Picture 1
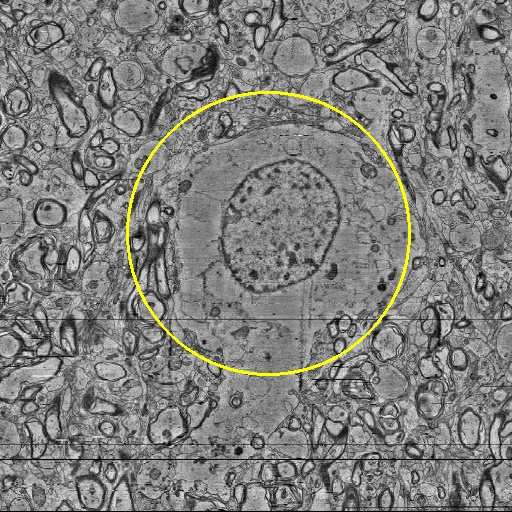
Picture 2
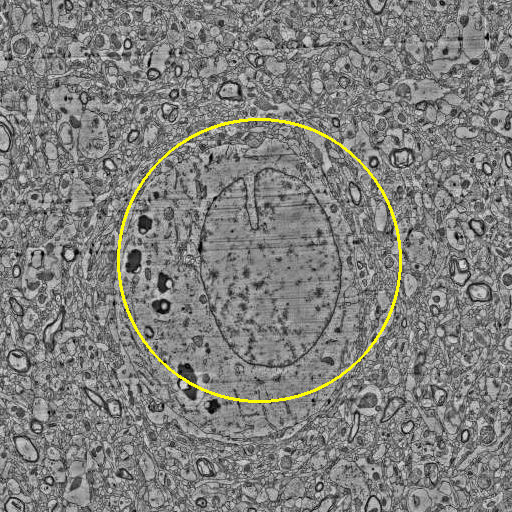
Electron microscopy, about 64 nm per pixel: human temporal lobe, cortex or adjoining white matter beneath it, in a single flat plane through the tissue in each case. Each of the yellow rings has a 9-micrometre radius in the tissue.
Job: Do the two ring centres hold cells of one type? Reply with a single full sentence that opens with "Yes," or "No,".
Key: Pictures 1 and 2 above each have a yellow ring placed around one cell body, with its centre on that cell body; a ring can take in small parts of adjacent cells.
No, the cells at the two ring centres are of two separate types.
